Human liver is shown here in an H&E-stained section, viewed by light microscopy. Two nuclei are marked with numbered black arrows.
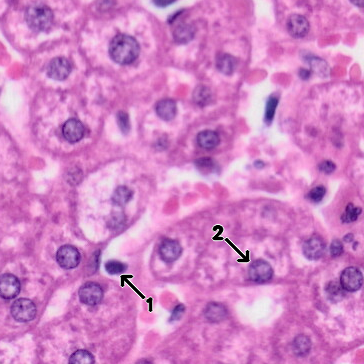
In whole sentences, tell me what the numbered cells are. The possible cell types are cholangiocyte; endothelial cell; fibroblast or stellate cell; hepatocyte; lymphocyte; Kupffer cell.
Cell 1 is a lymphocyte and cell 2 is a hepatocyte.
